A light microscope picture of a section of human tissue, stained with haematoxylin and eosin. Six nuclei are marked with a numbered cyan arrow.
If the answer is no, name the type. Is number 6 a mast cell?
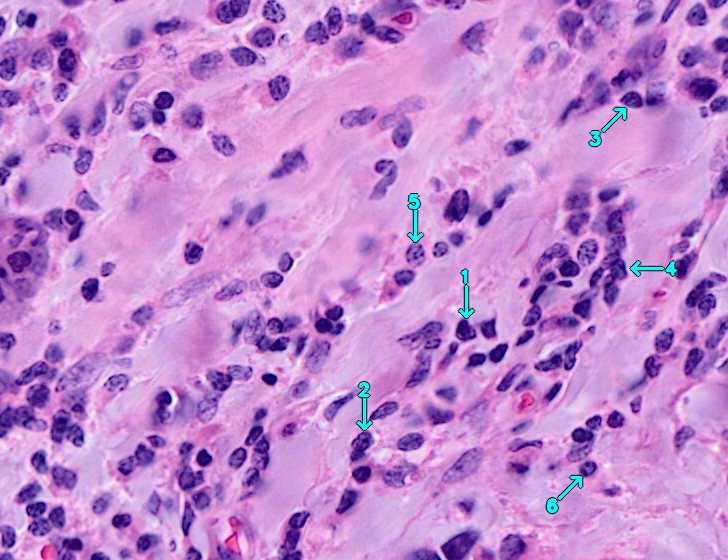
Yes.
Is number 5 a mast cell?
Yes.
